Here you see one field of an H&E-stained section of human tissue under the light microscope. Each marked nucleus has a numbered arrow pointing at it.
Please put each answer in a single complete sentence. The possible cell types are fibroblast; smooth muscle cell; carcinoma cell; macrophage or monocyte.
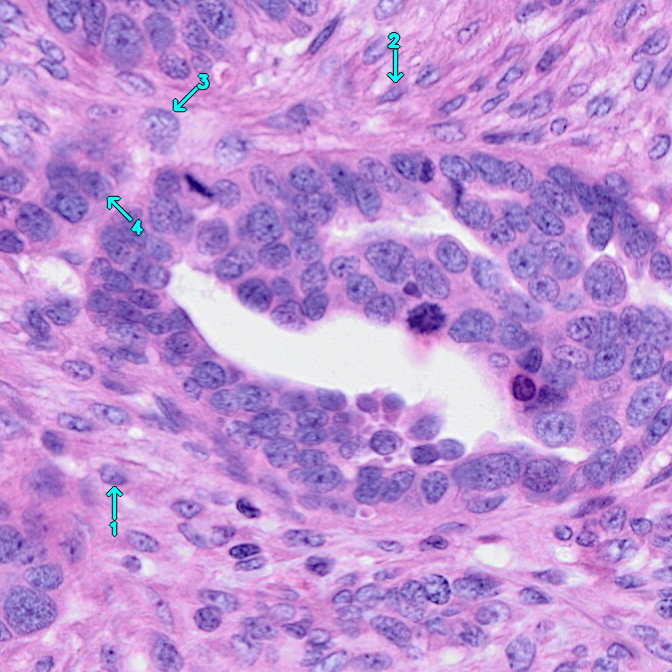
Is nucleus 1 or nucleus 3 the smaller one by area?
The smaller nucleus is 1, and 3 covers roughly 1.5 times its area.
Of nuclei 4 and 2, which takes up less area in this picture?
It is nucleus 2; nucleus 4 has about 2 times its area.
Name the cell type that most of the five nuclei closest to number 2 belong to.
Fibroblasts make up most of the five nuclei closest to number 2.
